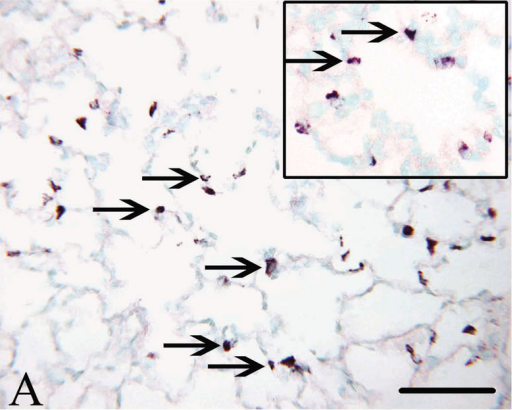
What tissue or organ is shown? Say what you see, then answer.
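Lung septum. Large empty spaces are separated by thin, delicate walls. The walls form a lace-like network typical of alveolar tissue.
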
